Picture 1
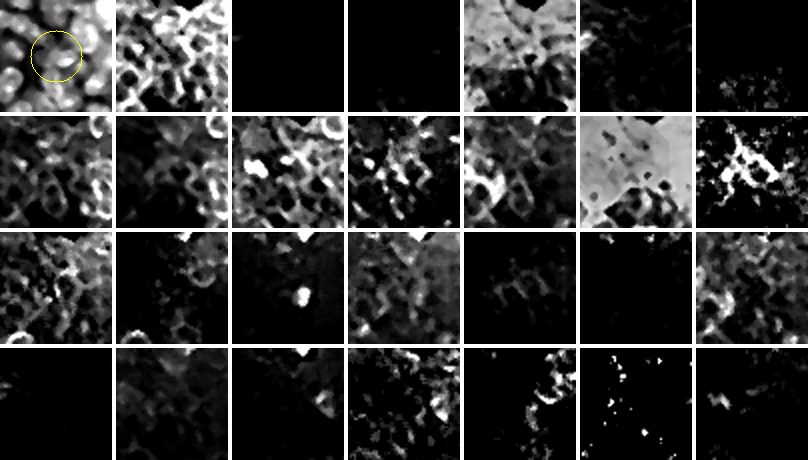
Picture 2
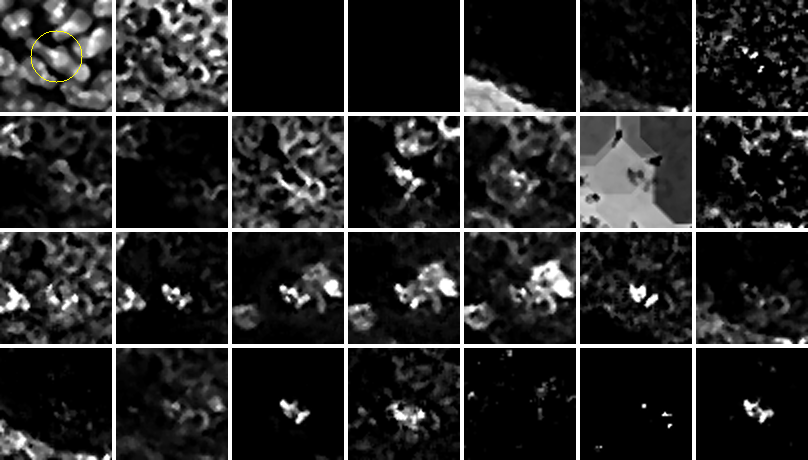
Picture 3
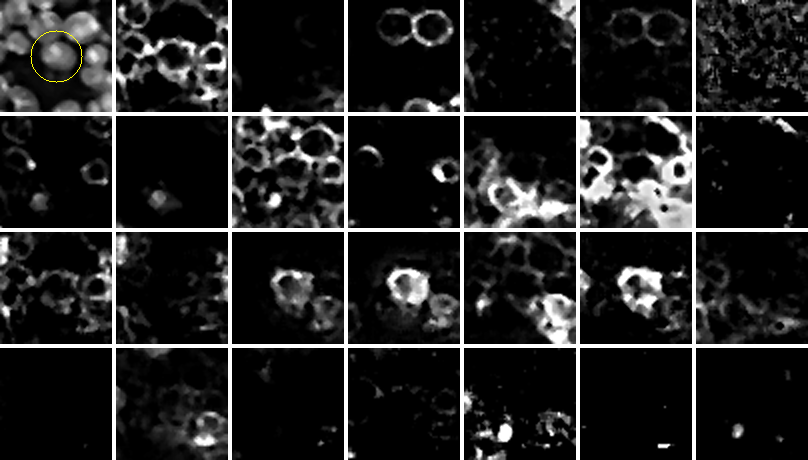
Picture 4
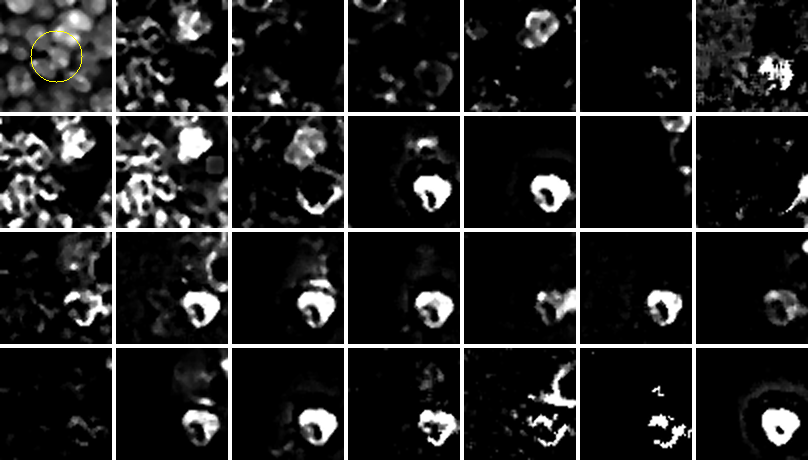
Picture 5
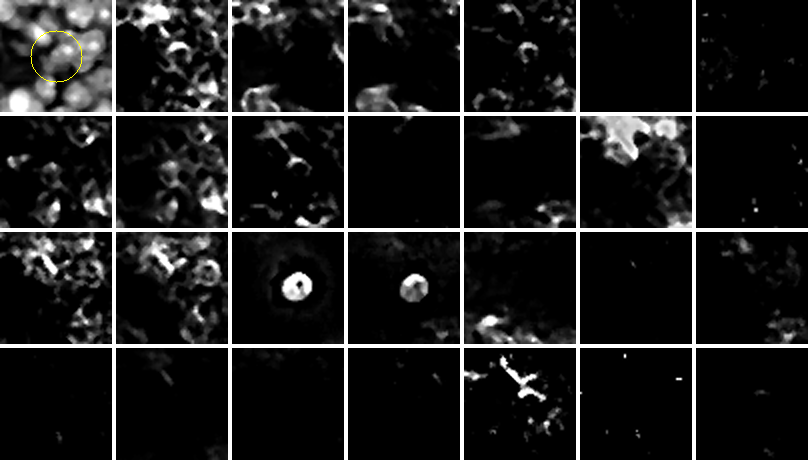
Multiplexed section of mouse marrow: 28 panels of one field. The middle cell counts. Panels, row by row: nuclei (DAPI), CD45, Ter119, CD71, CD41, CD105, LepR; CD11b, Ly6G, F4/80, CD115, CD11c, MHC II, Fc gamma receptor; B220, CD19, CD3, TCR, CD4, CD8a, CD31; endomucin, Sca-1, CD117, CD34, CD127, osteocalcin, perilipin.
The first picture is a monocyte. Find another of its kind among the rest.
Picture 2.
